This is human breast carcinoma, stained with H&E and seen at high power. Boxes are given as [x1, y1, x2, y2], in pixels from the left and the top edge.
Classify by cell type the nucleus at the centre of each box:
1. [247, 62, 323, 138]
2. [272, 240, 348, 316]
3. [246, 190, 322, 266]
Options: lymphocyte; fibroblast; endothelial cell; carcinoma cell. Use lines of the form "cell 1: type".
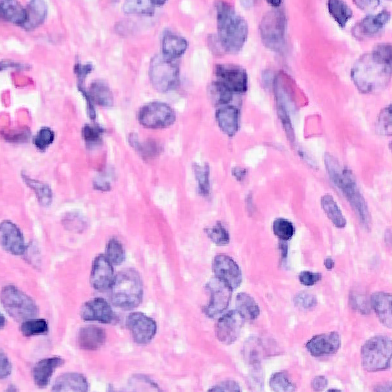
cell 1: endothelial cell
cell 2: lymphocyte
cell 3: lymphocyte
